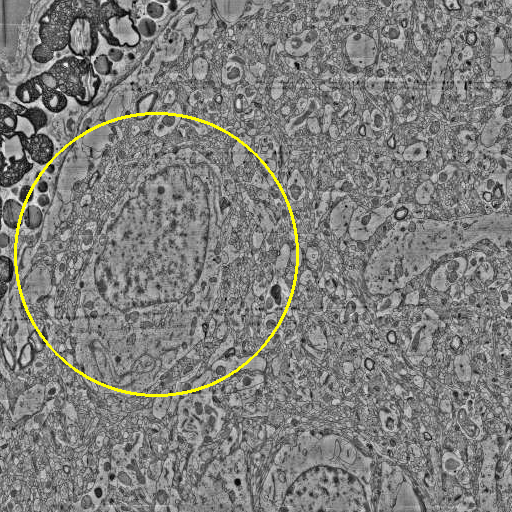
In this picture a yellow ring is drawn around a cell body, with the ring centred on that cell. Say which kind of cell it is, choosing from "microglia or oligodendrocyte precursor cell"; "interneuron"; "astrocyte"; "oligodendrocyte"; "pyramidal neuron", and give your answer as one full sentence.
Here it is an interneuron that sits at the centre of the drawn yellow ring.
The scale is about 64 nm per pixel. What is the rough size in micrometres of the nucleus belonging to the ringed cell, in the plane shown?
About 10 by 7 micrometres, the nucleus being clearly longer than it is wide in this plane.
